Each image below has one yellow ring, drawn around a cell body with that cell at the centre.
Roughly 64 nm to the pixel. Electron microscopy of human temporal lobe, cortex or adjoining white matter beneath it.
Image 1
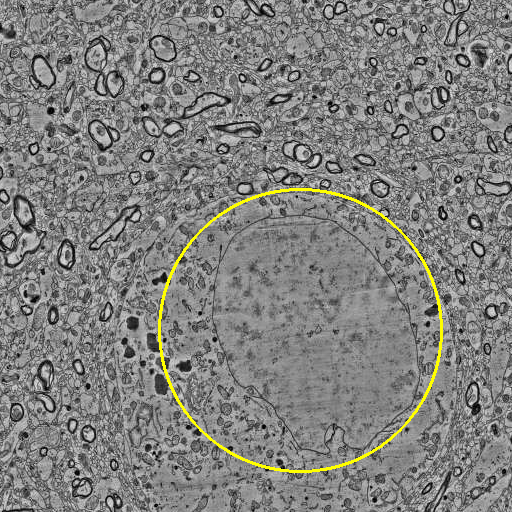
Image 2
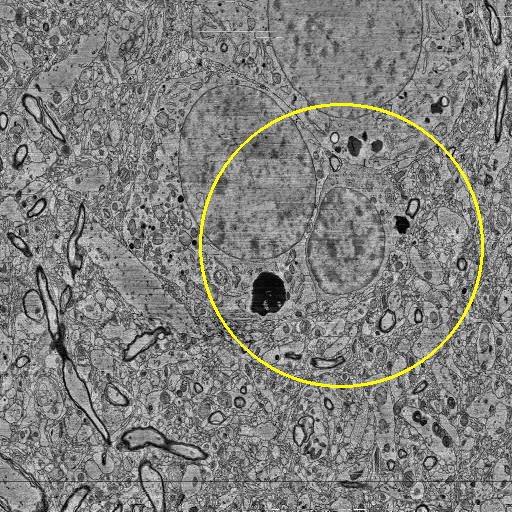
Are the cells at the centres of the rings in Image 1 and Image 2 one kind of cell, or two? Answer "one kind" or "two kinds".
two kinds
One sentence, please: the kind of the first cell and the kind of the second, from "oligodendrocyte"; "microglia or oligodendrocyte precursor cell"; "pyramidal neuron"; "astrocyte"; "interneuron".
The ring in the first picture surrounds a pyramidal neuron, and the ring in the second surrounds an oligodendrocyte.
